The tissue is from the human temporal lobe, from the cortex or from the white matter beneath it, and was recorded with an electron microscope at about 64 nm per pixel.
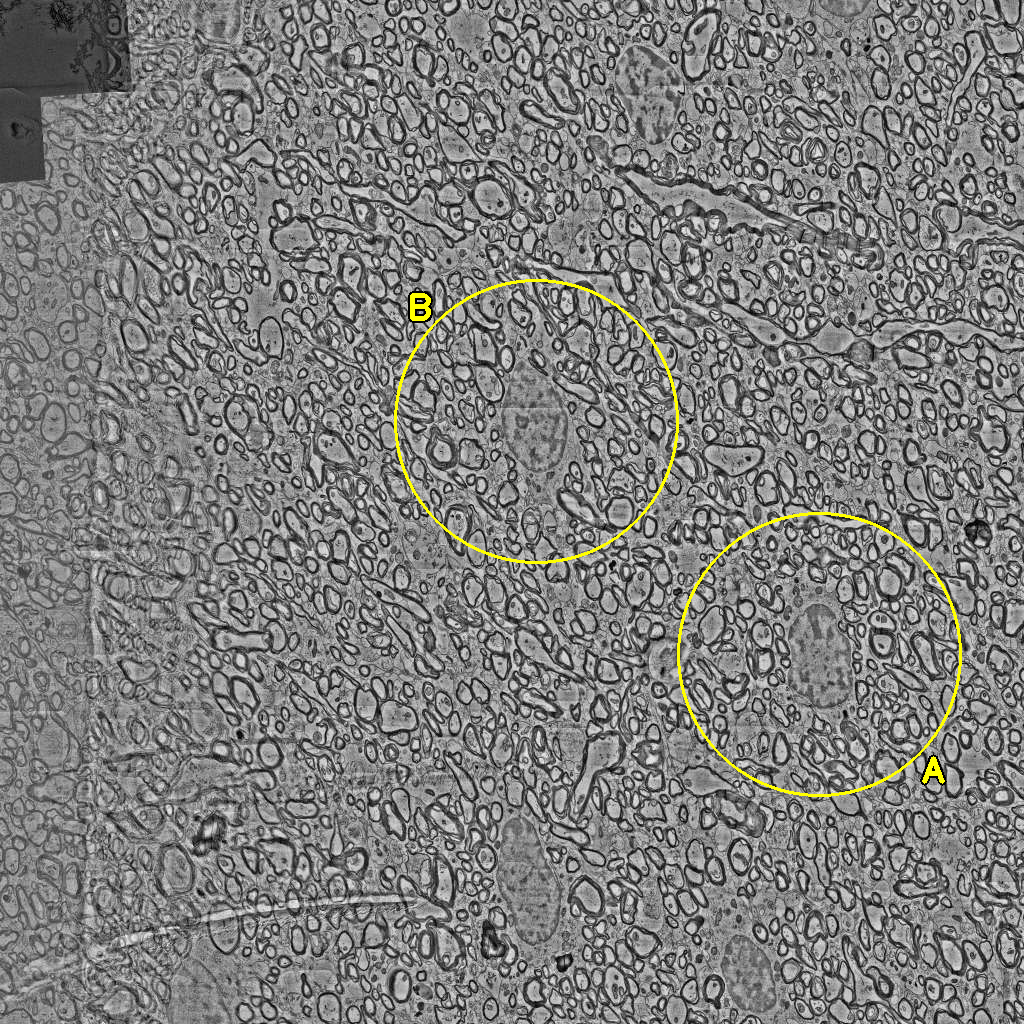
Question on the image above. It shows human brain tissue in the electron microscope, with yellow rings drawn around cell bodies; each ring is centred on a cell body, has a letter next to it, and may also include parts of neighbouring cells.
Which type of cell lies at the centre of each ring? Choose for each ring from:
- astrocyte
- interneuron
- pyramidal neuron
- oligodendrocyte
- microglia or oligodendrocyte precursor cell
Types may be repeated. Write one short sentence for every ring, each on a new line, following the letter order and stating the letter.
Ring A has been drawn around an oligodendrocyte.
Ring B has been drawn around an oligodendrocyte.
